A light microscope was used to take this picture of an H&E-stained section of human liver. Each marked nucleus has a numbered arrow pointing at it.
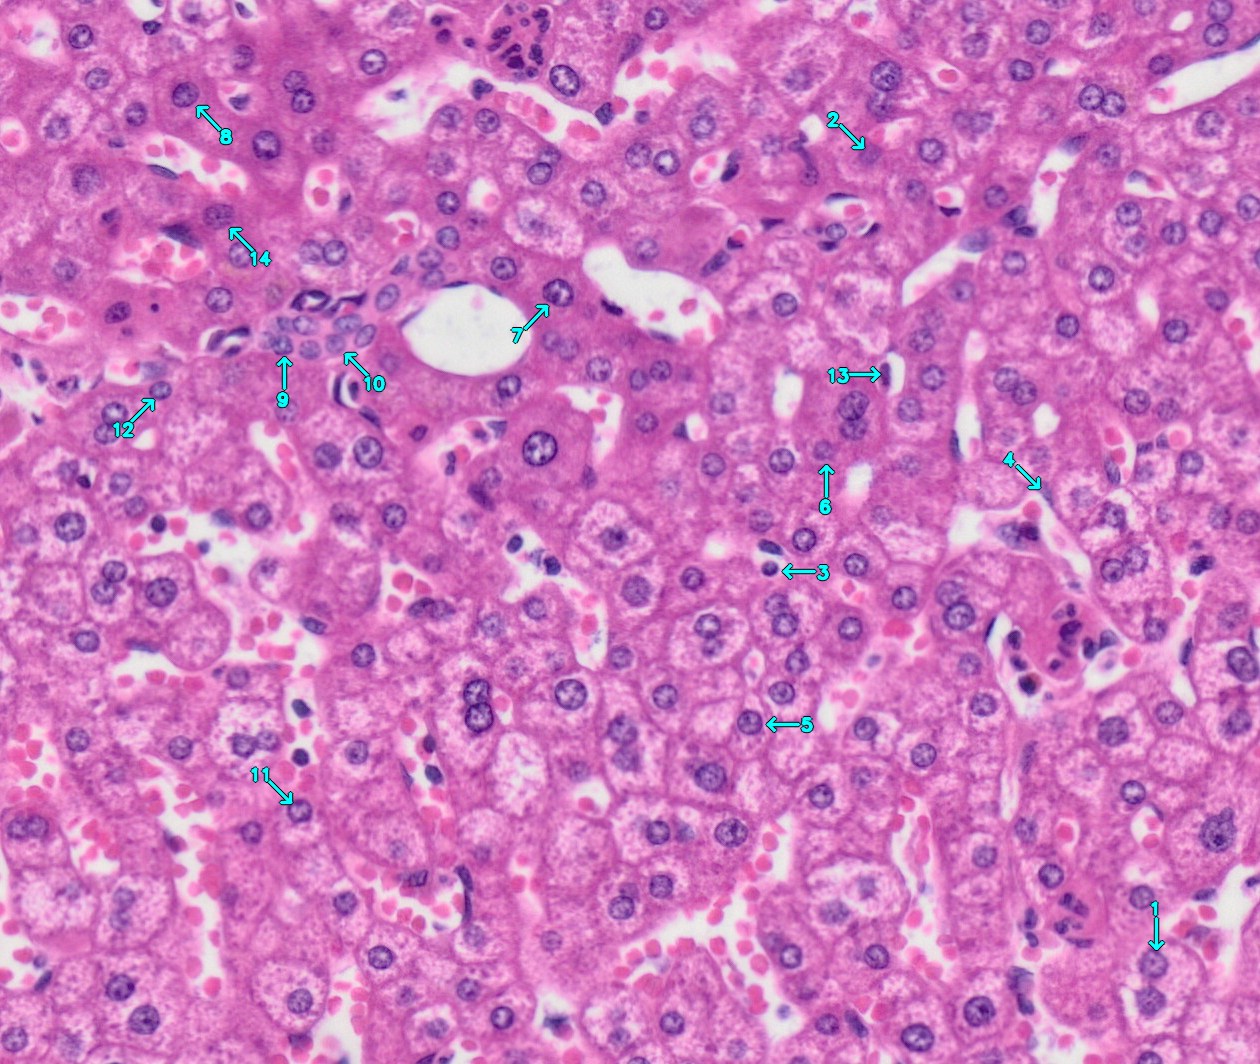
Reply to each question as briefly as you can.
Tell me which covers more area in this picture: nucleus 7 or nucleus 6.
7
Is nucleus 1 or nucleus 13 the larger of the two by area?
1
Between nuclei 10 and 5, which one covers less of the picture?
10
